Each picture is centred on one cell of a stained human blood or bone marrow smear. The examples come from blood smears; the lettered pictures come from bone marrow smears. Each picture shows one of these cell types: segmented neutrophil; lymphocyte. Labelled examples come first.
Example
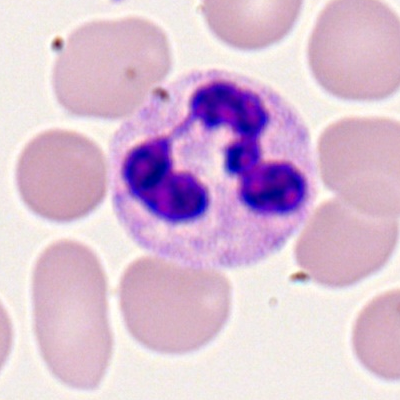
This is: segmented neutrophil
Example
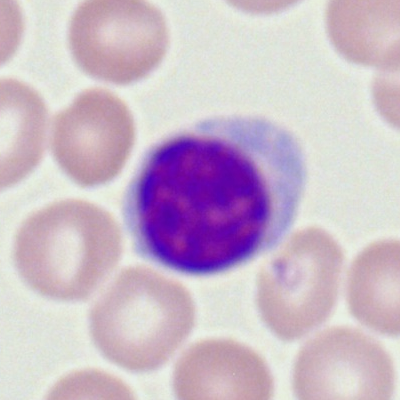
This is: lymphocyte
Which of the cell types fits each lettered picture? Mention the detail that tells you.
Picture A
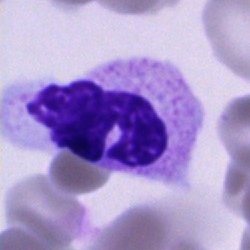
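segmented neutrophil: Fine pinkish-purple granules are scattered through the cytoplasm.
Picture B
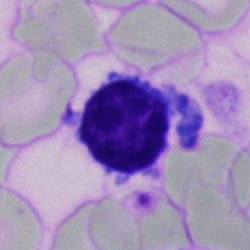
lymphocyte: The cytoplasm is very scant, showing only as a narrow rim at the edge of the nucleus.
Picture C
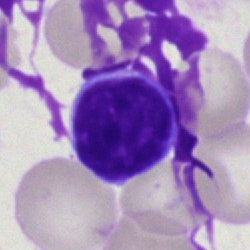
lymphocyte: Only a very thin rim of cytoplasm shows around the nucleus.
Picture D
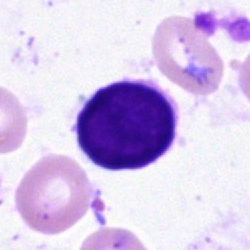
lymphocyte: The cytoplasm is scant, at most a thin rim at the edge of the nucleus.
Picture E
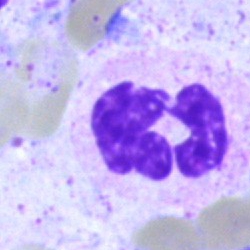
segmented neutrophil: The cytoplasm is abundant and pale pink-lilac.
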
